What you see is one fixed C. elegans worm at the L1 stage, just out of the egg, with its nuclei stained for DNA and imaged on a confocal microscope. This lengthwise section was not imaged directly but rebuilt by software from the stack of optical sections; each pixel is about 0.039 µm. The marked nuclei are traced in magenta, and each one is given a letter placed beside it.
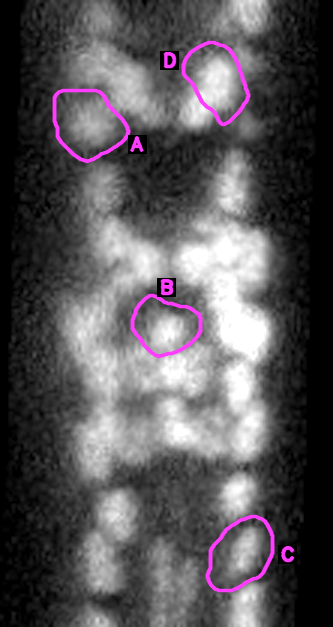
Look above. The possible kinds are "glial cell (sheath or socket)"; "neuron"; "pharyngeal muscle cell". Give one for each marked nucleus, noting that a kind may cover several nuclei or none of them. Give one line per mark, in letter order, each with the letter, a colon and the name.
A: neuron
B: neuron
C: glial cell (sheath or socket)
D: neuron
